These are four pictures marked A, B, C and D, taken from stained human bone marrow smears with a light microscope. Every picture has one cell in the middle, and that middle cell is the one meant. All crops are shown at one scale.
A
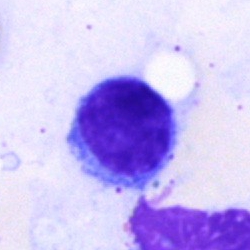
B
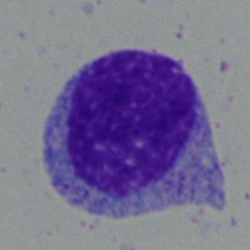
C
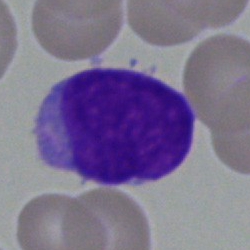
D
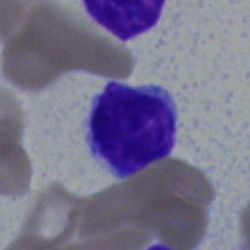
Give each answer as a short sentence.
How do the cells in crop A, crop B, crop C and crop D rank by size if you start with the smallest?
Smallest first: D, A, C, B.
